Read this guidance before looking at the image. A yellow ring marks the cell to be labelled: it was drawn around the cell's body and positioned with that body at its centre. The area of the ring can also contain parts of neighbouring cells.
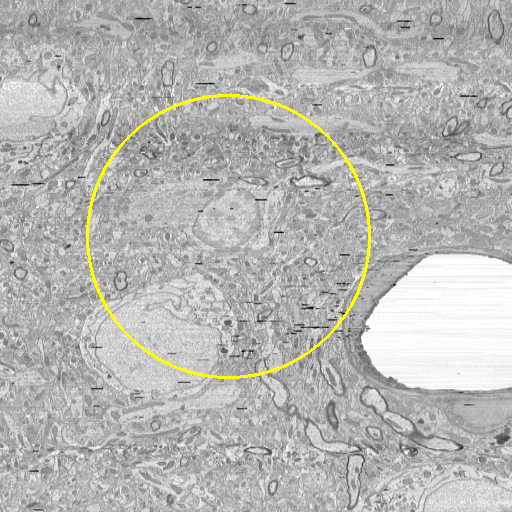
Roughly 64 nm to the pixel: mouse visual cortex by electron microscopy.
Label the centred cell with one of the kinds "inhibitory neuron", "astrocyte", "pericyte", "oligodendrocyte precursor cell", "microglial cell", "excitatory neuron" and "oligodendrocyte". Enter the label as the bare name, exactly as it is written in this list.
oligodendrocyte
